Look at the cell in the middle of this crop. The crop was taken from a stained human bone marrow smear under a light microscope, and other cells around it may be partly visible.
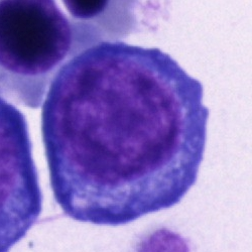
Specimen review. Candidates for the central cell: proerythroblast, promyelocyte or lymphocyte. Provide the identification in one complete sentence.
The cell occupying the middle of the crop is a proerythroblast.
